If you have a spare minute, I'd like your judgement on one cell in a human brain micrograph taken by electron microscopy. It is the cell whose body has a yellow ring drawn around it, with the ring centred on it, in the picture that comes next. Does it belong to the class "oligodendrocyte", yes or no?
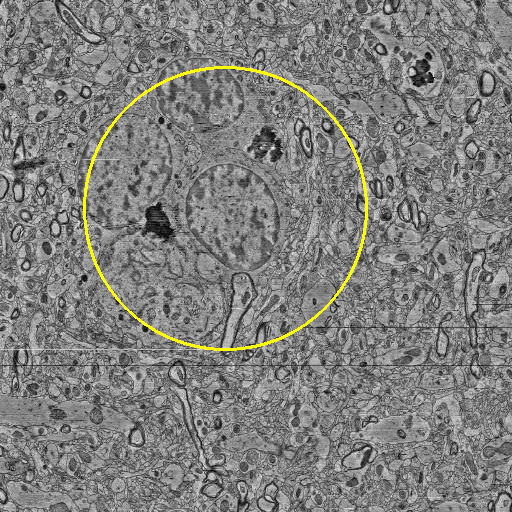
Yes, it belongs to that class.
